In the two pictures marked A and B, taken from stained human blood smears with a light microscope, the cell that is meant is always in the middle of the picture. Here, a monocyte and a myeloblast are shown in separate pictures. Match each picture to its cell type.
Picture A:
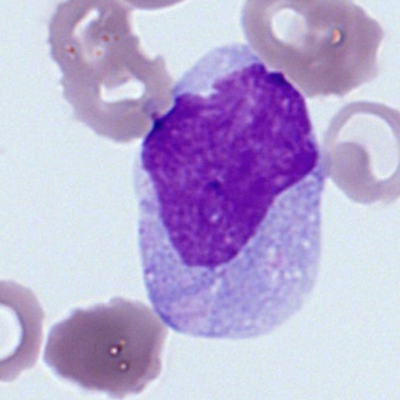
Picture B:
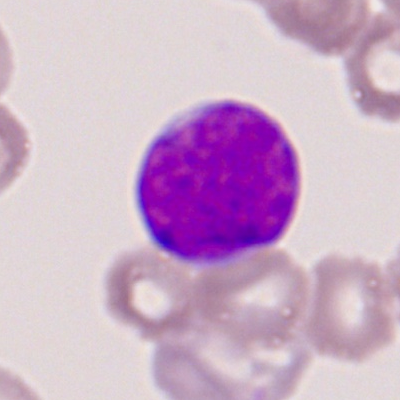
A: monocyte
B: myeloblast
